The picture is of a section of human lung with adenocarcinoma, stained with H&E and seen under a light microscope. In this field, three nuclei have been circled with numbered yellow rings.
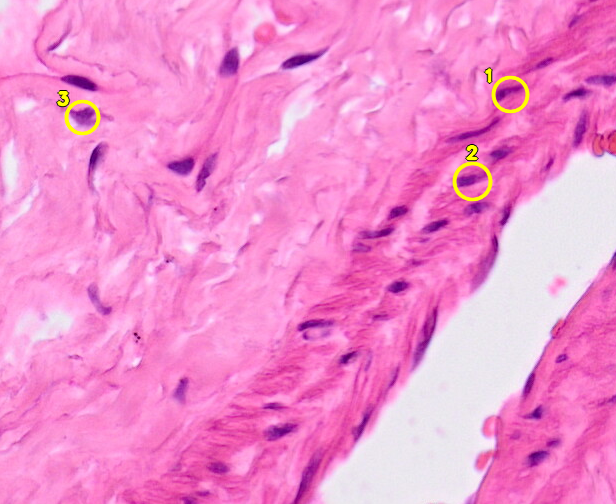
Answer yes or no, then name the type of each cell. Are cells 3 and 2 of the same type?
No, with respect, cell 3 is a fibroblast and cell 2 is a smooth muscle cell or pericyte.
